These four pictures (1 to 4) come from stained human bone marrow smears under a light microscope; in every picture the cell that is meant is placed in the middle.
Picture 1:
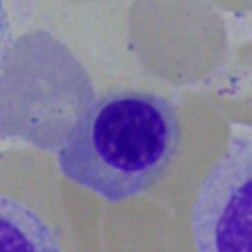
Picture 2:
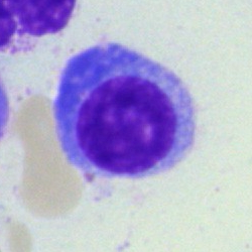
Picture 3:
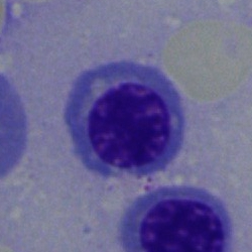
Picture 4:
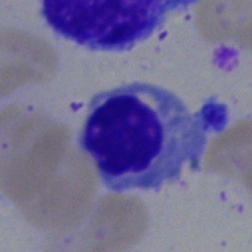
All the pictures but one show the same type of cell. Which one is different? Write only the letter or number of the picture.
2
